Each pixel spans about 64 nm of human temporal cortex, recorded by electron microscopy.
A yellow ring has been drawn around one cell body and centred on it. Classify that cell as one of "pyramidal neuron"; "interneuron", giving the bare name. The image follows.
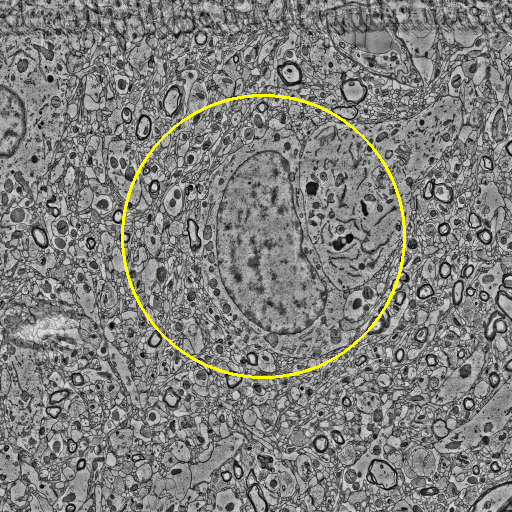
interneuron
